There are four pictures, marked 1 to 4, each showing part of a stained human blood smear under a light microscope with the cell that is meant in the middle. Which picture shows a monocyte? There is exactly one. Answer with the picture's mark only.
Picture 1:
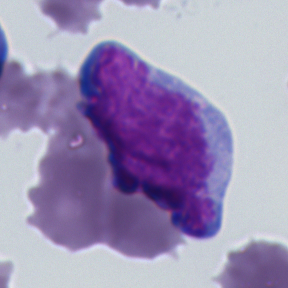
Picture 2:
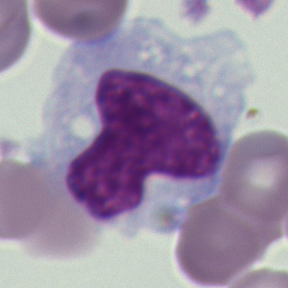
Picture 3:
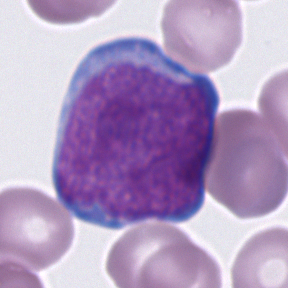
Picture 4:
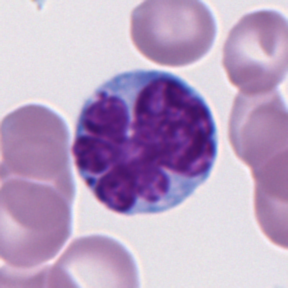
2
